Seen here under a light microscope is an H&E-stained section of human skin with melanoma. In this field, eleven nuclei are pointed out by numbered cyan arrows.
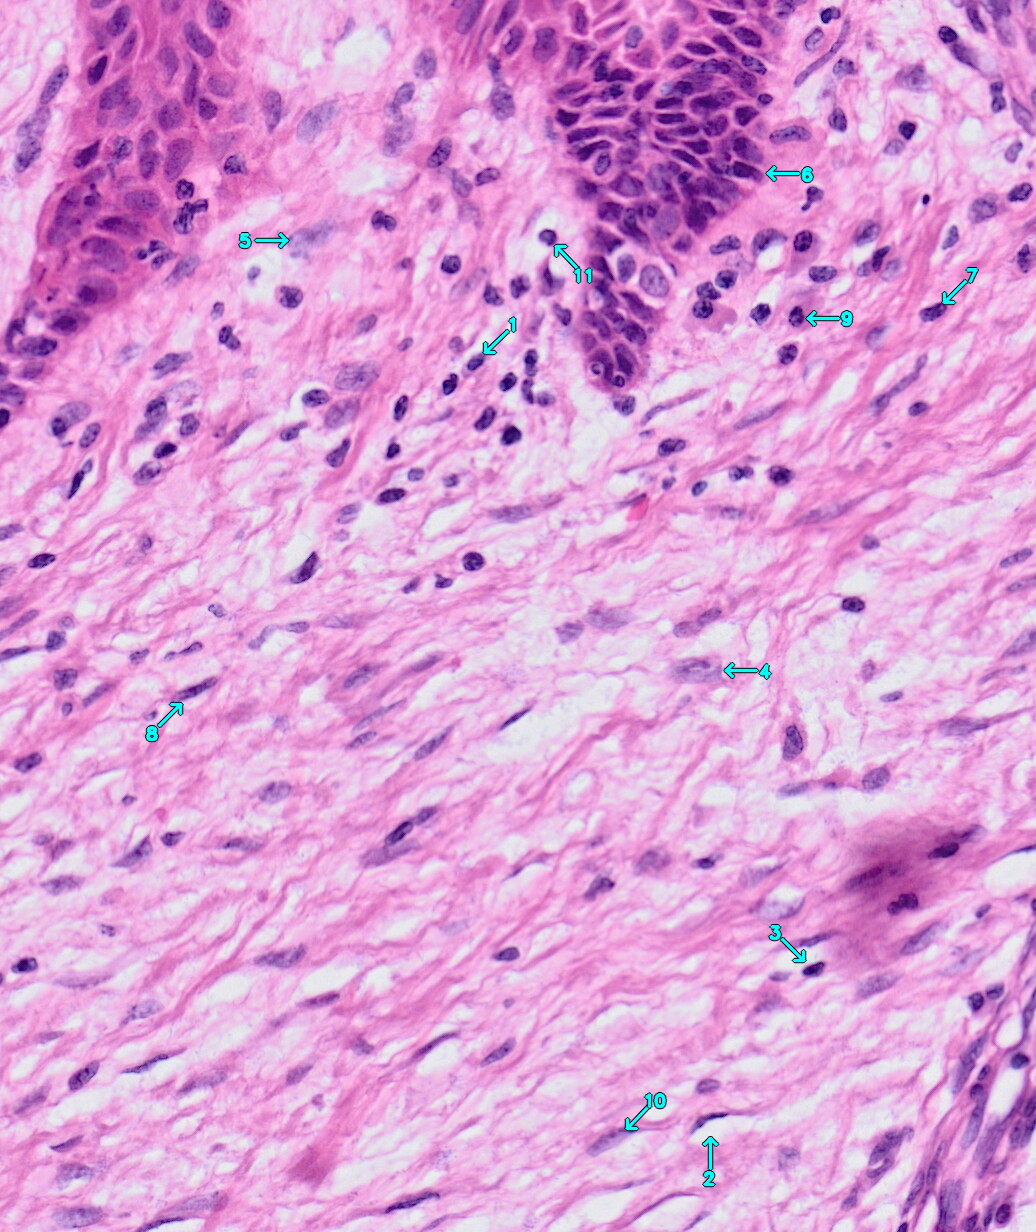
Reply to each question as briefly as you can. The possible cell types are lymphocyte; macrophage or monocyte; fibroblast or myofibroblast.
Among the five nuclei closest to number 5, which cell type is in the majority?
lymphocyte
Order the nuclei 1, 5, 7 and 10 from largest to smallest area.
5, 10, 7, 1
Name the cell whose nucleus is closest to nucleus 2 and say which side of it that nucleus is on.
a macrophage or monocyte, above nucleus 2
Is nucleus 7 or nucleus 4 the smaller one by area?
7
